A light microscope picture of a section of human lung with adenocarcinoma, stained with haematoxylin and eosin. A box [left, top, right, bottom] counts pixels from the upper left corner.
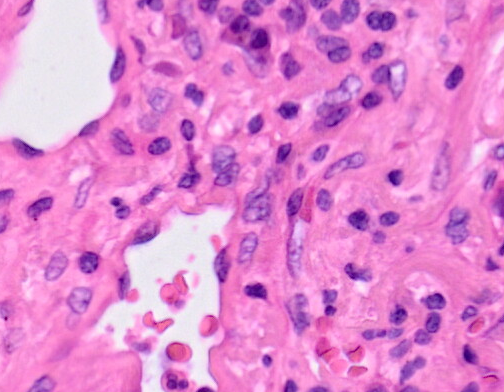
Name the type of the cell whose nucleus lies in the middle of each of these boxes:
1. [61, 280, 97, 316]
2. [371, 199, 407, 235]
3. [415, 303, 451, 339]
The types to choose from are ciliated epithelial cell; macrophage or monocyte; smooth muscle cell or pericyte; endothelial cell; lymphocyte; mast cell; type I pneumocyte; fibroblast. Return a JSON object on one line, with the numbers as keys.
{"1": "fibroblast", "2": "lymphocyte", "3": "lymphocyte"}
